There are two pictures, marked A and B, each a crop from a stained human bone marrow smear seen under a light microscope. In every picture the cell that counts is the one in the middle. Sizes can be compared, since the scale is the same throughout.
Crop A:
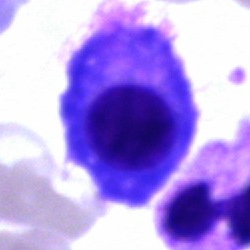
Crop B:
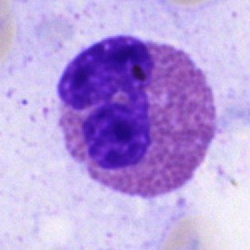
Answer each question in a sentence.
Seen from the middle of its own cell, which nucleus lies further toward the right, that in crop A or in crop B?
The nucleus in crop A lies further toward the right of its cell.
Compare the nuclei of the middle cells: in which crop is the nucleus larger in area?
The nucleus in crop B is larger, with about 1.5 times the area of the one in crop A.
